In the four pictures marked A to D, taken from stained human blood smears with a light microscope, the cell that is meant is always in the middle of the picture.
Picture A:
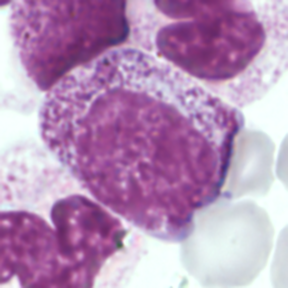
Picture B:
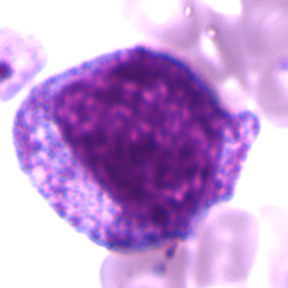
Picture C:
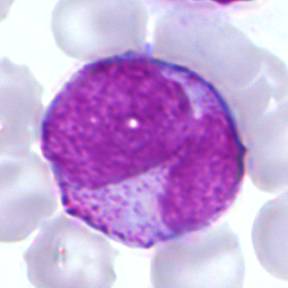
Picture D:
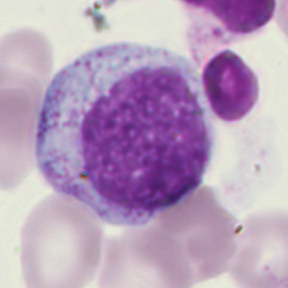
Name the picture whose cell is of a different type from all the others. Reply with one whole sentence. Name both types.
The others show promyelocytes, but picture A shows a myelocyte.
